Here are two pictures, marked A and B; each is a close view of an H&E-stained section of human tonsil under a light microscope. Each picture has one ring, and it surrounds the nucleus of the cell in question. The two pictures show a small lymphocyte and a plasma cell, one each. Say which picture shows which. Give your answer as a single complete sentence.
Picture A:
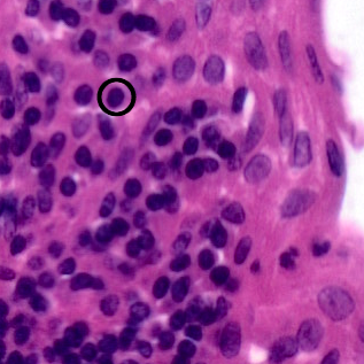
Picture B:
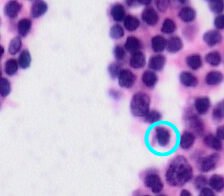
Picture A is of a plasma cell, and picture B is of a small lymphocyte.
